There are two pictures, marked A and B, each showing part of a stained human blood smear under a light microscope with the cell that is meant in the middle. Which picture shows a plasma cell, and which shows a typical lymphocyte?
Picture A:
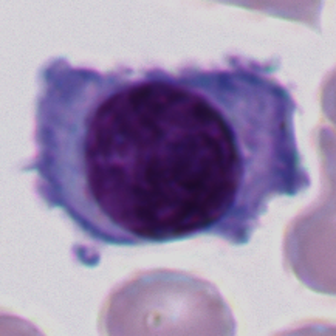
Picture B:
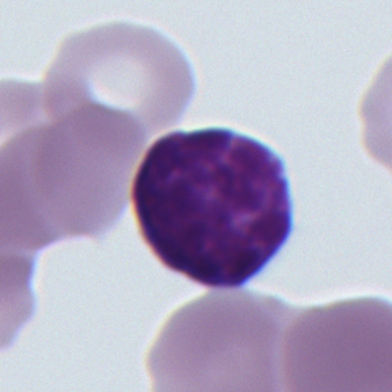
A: plasma cell
B: typical lymphocyte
